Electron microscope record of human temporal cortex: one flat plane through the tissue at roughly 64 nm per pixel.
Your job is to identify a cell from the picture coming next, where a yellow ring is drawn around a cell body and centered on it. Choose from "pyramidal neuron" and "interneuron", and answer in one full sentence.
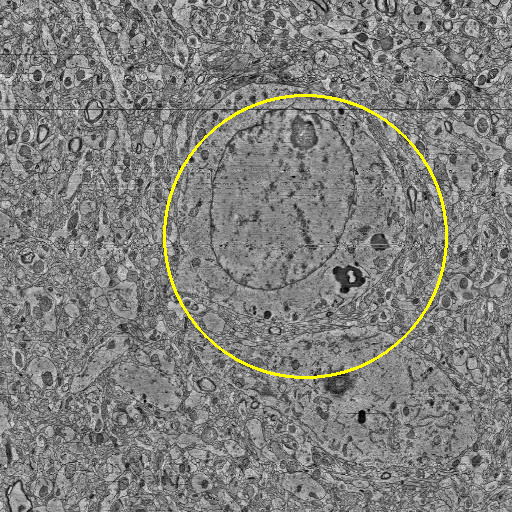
Centered in the yellow ring of the picture is the body of a pyramidal neuron.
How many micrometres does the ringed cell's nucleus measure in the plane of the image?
The ringed cell's nucleus measures approximately 12 by 9 micrometres in this plane.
